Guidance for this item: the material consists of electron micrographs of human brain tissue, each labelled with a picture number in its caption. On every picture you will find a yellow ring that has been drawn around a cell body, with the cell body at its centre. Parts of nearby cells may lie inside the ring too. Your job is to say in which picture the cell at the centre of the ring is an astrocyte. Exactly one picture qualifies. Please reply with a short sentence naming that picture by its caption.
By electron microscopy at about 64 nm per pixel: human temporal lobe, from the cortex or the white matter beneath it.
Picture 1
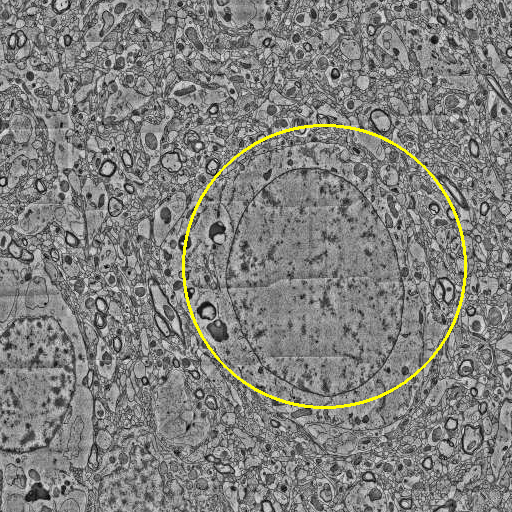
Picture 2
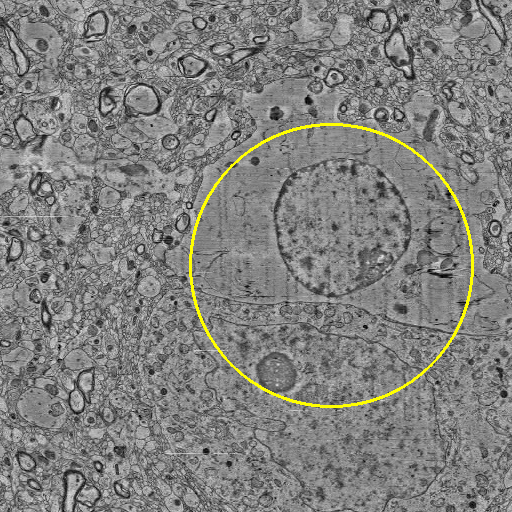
Picture 2 shows it at the centre of the ring.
